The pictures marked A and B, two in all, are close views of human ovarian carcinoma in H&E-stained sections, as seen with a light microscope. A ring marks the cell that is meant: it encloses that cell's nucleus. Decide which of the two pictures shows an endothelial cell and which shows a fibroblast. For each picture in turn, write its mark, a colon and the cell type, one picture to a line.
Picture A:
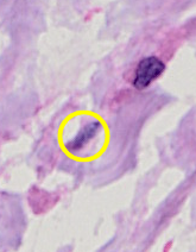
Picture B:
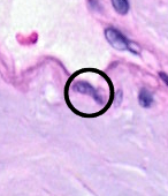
A: fibroblast
B: endothelial cell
